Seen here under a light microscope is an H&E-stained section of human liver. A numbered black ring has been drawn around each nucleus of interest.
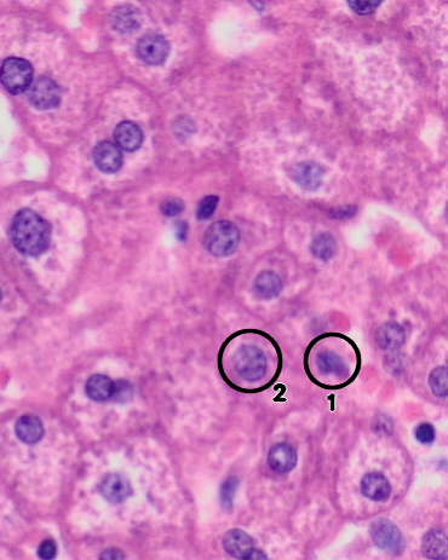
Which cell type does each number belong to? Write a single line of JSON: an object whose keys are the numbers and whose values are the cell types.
{"1": "endothelial cell", "2": "hepatocyte"}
